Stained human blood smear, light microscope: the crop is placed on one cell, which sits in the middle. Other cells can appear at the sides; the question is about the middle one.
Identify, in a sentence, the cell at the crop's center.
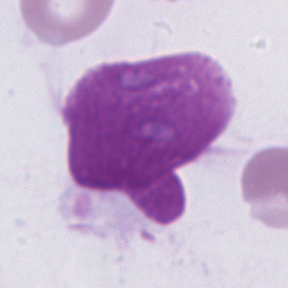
Located at the centre of the crop is a smudge cell.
